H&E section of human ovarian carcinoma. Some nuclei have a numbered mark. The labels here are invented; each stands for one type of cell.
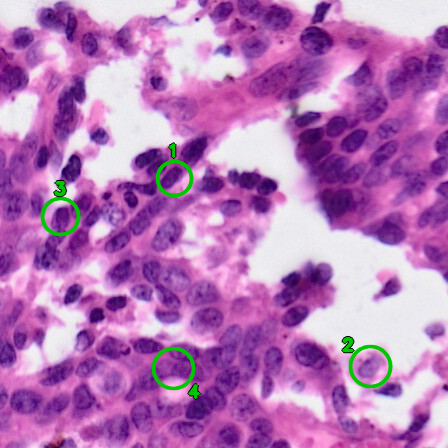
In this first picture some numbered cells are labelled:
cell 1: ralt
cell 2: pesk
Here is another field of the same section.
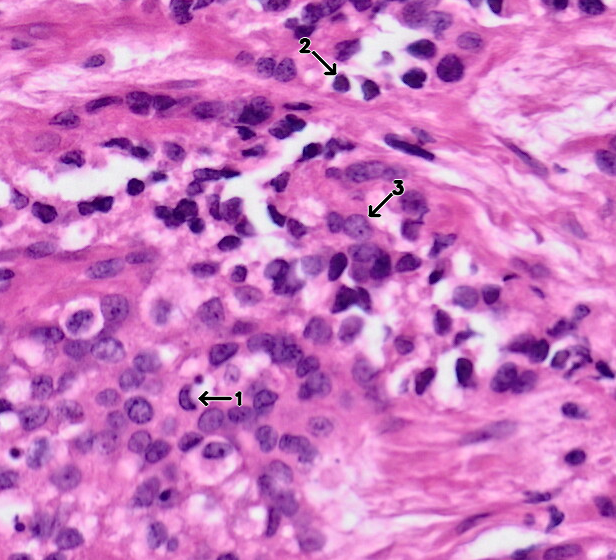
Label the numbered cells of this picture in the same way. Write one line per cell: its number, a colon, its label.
1: pesk
2: ralt
3: ralt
